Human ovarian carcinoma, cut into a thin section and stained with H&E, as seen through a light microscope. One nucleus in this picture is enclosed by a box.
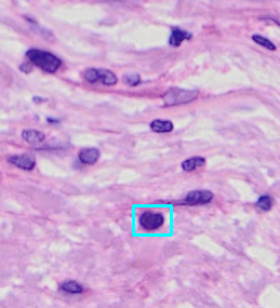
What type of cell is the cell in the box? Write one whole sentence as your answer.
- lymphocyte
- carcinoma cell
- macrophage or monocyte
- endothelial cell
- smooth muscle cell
Within the stained tissue, the cell in the box is a lymphocyte.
